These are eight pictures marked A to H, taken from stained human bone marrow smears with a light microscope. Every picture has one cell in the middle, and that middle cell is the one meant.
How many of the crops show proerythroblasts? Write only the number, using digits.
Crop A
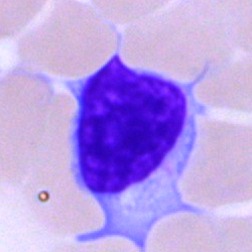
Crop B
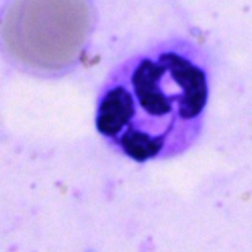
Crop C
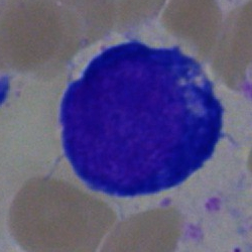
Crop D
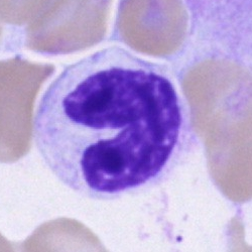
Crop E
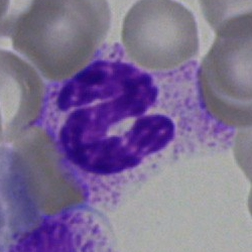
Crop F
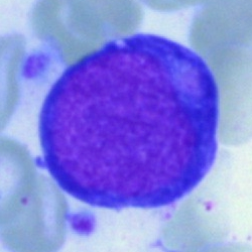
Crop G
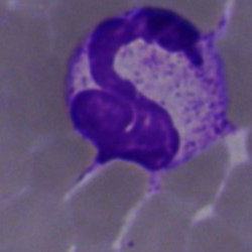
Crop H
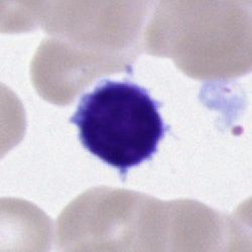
2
